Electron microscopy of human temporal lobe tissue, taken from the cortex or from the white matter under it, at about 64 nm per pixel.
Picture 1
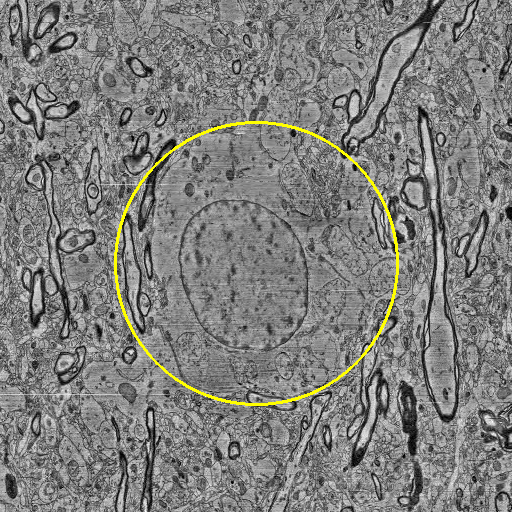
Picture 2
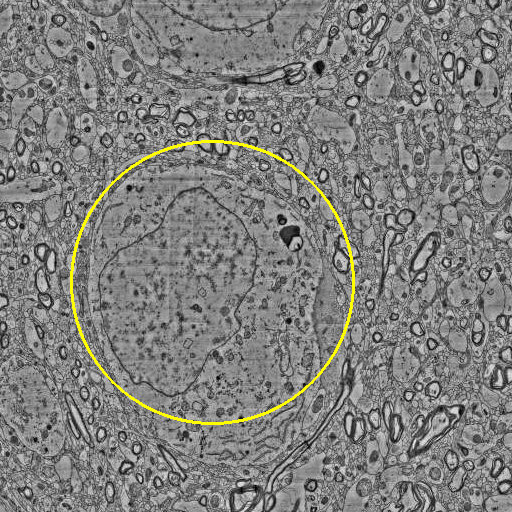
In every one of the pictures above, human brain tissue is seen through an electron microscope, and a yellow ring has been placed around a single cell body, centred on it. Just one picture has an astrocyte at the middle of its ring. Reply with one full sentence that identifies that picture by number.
It is picture 1 that shows the wanted cell at its ring's centre.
